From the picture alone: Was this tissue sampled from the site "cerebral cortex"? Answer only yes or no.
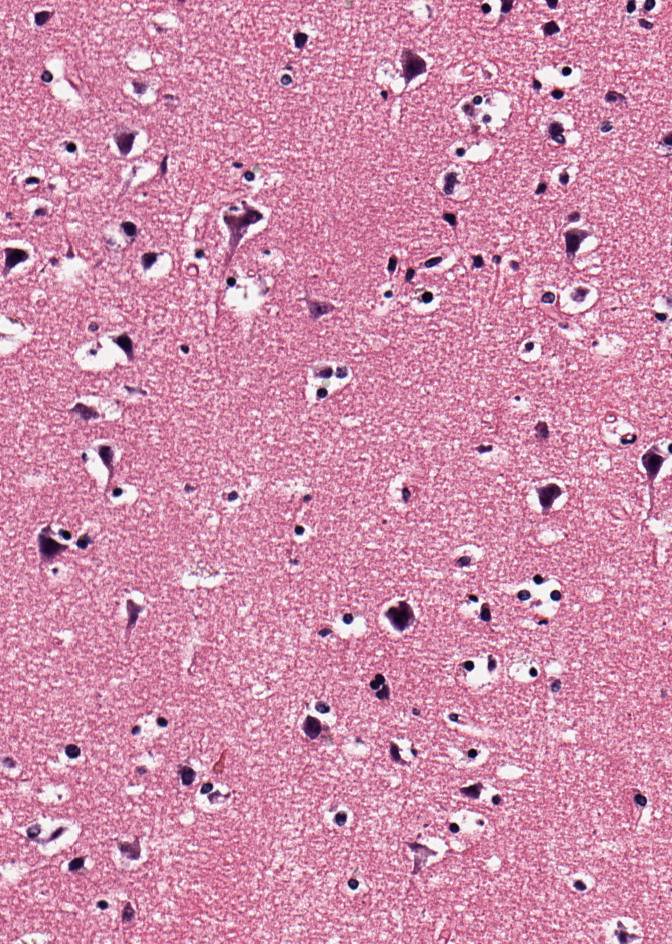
yes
